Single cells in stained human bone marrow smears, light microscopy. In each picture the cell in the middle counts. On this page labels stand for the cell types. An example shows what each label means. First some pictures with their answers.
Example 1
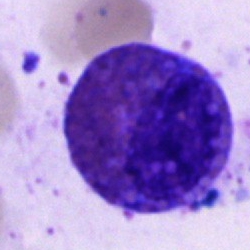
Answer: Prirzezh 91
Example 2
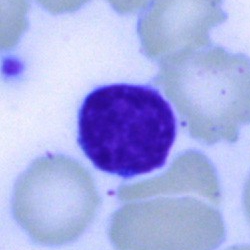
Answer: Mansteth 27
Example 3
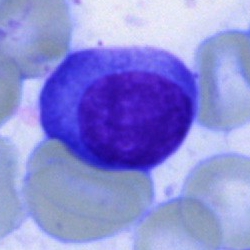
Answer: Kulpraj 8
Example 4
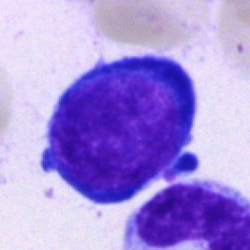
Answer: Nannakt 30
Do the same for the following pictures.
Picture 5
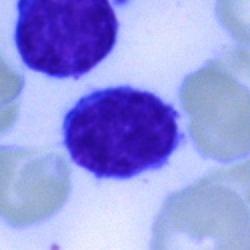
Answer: Mansteth 27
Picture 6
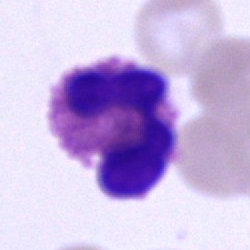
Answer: Prirzezh 91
